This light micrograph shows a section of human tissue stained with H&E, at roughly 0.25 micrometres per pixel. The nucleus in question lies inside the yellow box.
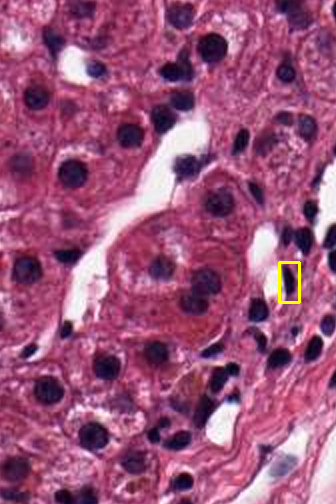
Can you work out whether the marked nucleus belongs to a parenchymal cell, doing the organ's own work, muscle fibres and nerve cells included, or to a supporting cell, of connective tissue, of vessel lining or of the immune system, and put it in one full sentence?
In the section shown, the marked nucleus belongs to a supporting cell.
